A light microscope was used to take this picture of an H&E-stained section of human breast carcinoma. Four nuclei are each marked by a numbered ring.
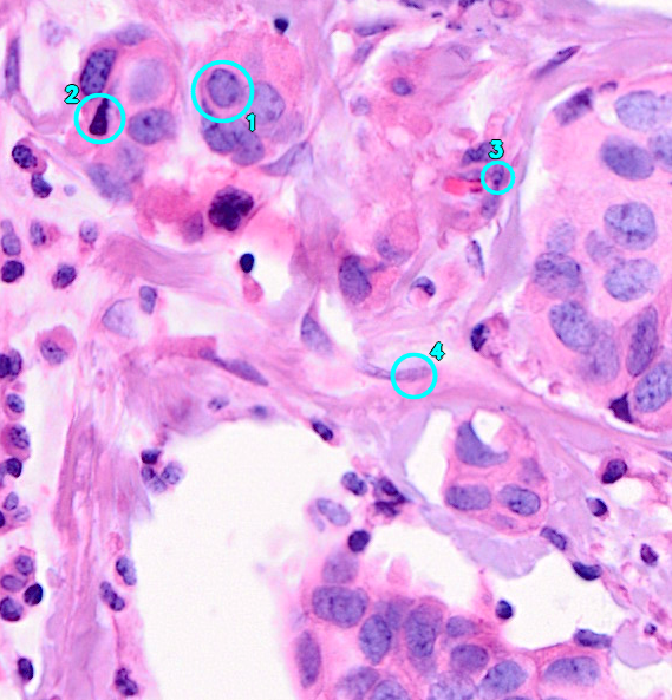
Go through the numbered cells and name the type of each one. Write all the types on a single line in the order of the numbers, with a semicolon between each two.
carcinoma cell; carcinoma cell; endothelial cell; fibroblast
